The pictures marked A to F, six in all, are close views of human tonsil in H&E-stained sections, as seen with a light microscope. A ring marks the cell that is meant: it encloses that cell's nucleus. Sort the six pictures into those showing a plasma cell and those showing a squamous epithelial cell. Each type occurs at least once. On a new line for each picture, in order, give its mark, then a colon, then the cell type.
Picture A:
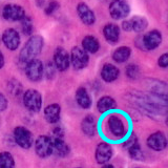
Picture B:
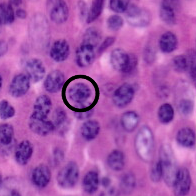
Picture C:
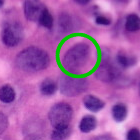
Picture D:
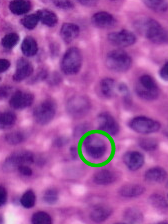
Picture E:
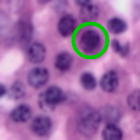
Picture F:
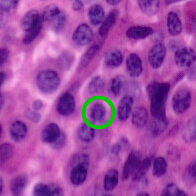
A: plasma cell
B: plasma cell
C: squamous epithelial cell
D: squamous epithelial cell
E: plasma cell
F: plasma cell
